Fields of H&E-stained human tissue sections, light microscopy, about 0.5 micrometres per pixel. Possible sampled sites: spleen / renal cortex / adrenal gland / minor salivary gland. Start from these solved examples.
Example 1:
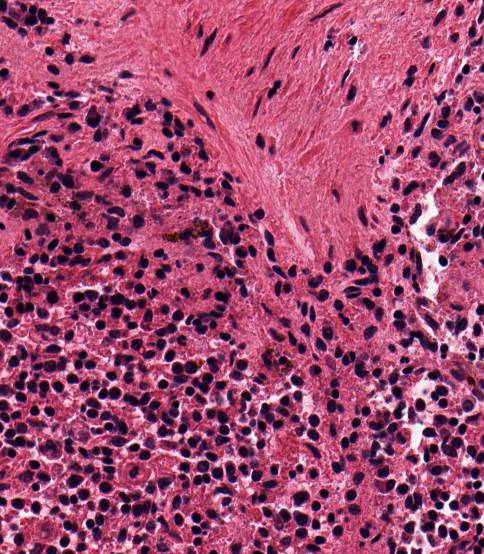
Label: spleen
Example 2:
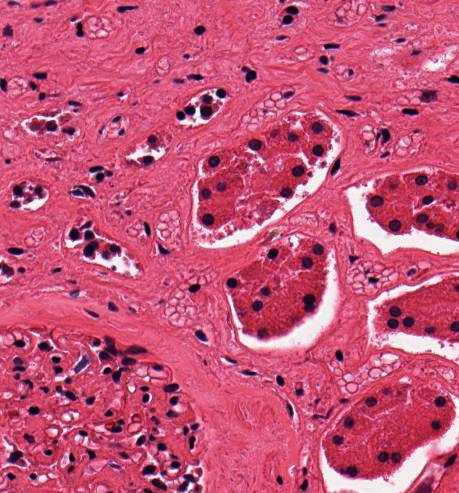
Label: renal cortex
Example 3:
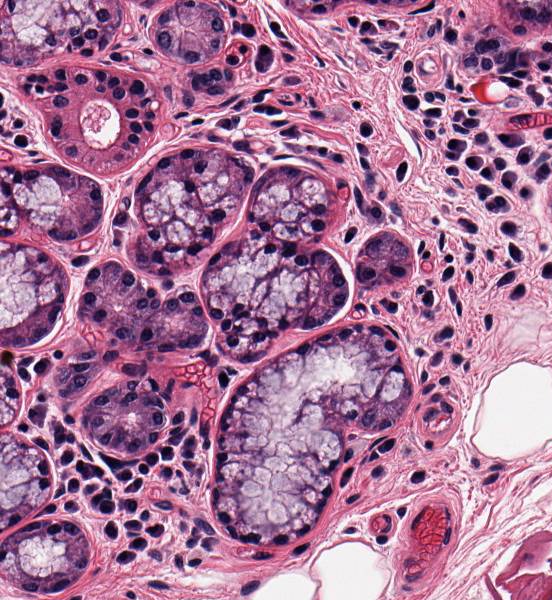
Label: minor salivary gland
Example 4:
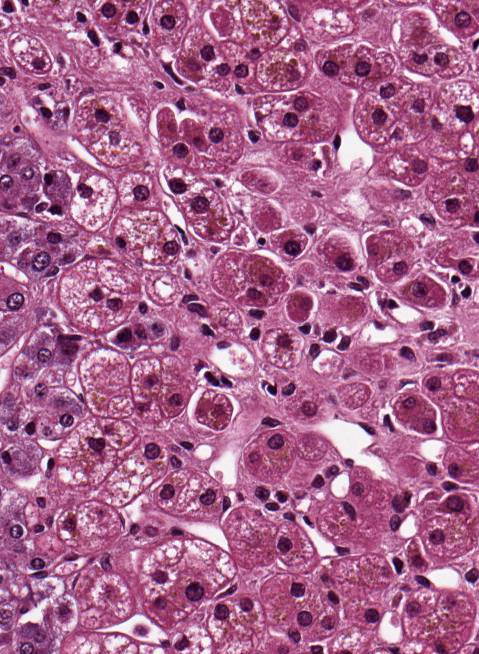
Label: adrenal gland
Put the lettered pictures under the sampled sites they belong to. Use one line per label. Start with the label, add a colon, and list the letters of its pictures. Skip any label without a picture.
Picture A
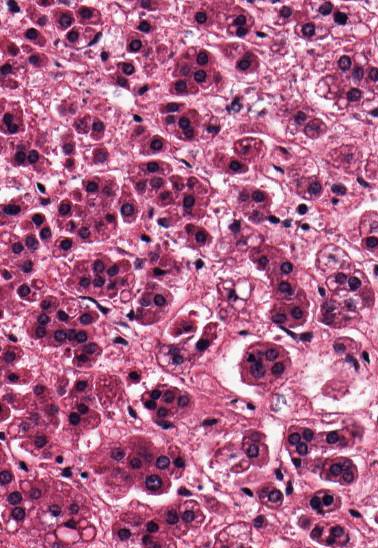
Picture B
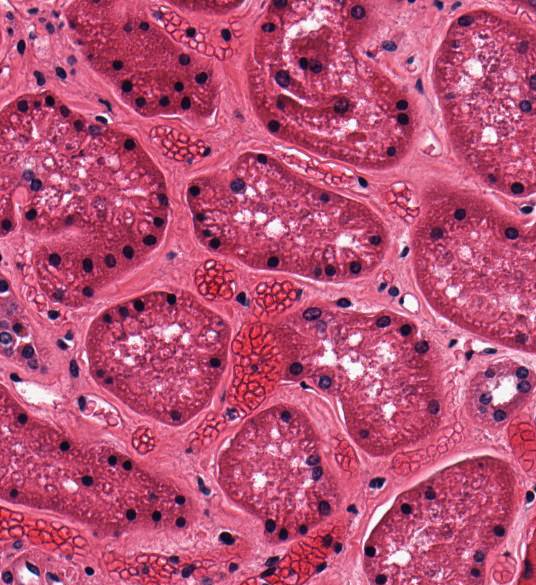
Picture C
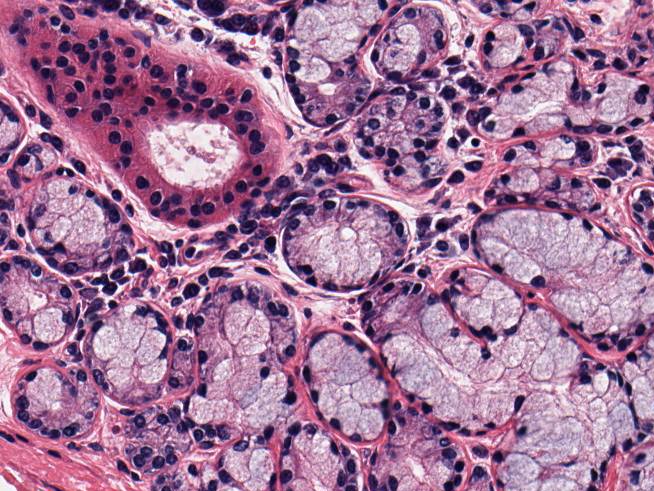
renal cortex: B
adrenal gland: A
minor salivary gland: C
